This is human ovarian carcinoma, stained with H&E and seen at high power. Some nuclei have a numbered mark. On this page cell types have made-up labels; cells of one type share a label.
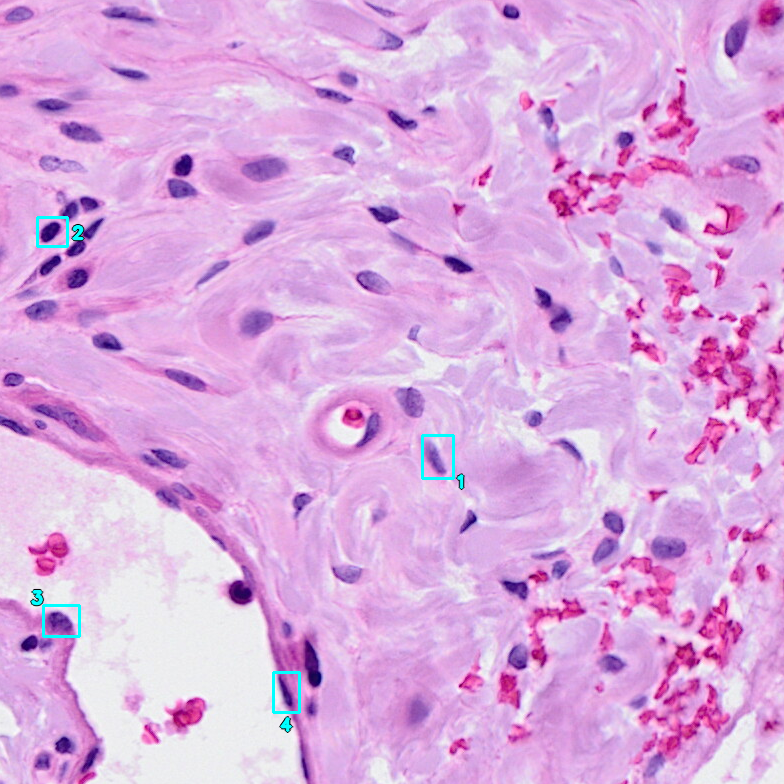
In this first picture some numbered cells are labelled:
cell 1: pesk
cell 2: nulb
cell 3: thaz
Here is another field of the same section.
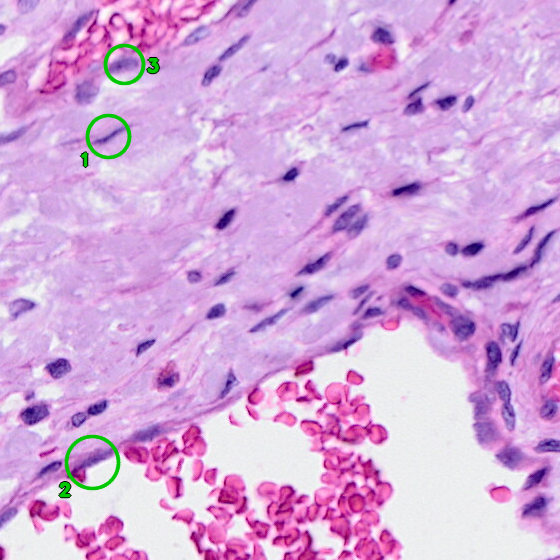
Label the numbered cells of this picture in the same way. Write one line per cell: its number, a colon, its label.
1: pesk
2: thaz
3: thaz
